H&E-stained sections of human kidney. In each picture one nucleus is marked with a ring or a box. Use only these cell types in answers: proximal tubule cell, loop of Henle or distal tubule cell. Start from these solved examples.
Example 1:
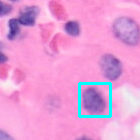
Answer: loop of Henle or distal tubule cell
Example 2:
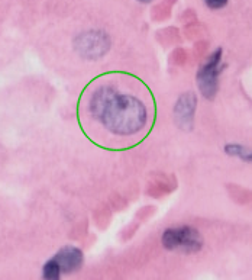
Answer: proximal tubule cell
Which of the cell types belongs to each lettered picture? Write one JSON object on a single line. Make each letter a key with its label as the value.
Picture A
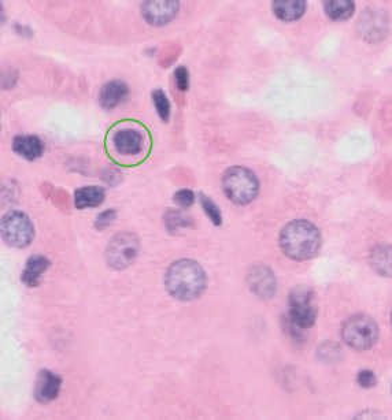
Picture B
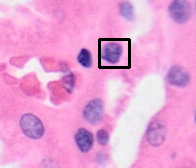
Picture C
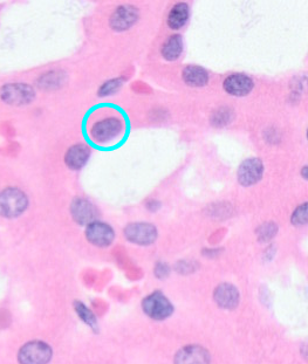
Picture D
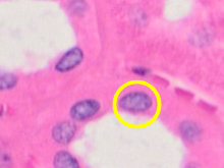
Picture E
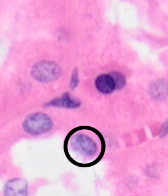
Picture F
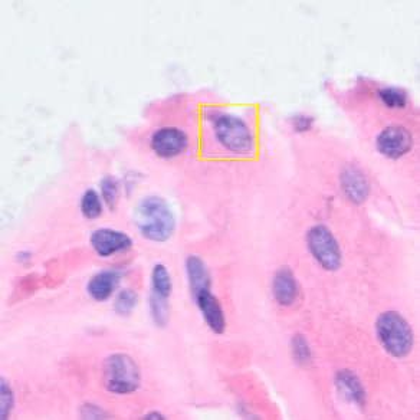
{"A": "loop of Henle or distal tubule cell", "B": "loop of Henle or distal tubule cell", "C": "loop of Henle or distal tubule cell", "D": "loop of Henle or distal tubule cell", "E": "loop of Henle or distal tubule cell", "F": "loop of Henle or distal tubule cell"}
